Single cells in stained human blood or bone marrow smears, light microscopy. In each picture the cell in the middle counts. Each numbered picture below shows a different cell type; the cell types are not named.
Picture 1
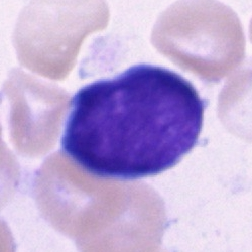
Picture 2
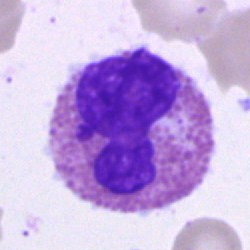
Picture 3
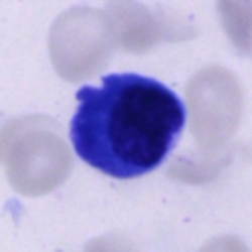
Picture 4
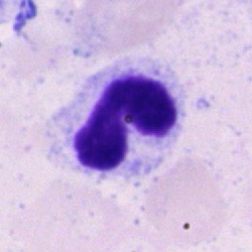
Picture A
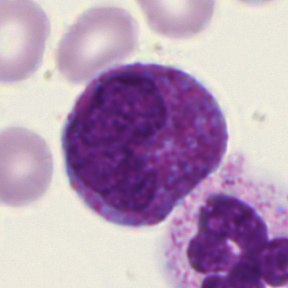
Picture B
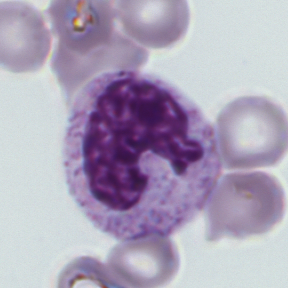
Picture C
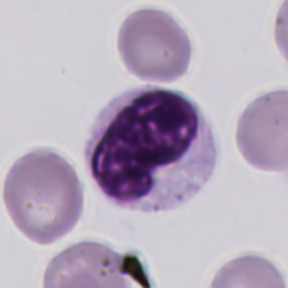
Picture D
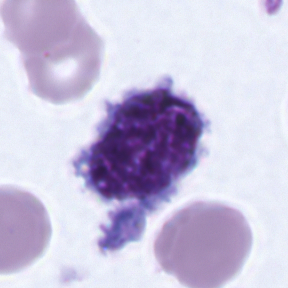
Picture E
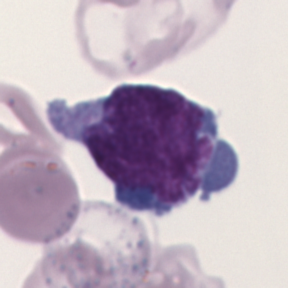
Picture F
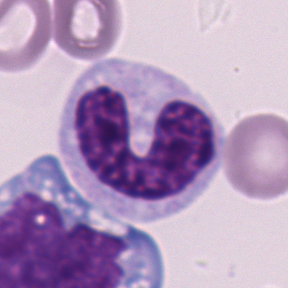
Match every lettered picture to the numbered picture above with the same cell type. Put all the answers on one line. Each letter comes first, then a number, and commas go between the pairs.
A 2, B 4, C 4, D 3, E 1, F 4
